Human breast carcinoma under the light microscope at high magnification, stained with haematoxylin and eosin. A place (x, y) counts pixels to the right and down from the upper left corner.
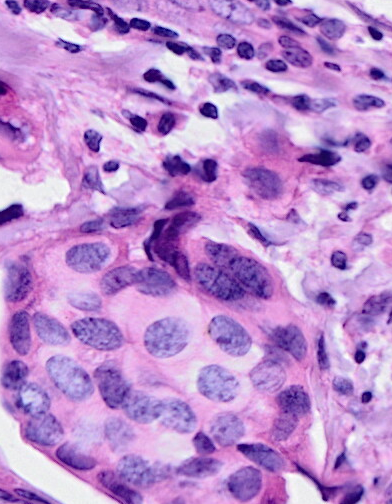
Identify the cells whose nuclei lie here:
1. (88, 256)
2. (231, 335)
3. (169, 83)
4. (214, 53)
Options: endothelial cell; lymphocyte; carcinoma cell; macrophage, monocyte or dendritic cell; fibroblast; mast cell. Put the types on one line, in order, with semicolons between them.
carcinoma cell; carcinoma cell; lymphocyte; lymphocyte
